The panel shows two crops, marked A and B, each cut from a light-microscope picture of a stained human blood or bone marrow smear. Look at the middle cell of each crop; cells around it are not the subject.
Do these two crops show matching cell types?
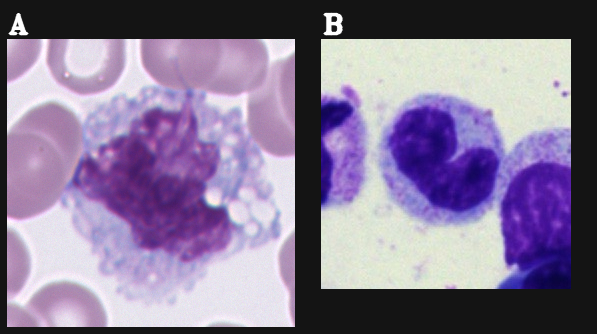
no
